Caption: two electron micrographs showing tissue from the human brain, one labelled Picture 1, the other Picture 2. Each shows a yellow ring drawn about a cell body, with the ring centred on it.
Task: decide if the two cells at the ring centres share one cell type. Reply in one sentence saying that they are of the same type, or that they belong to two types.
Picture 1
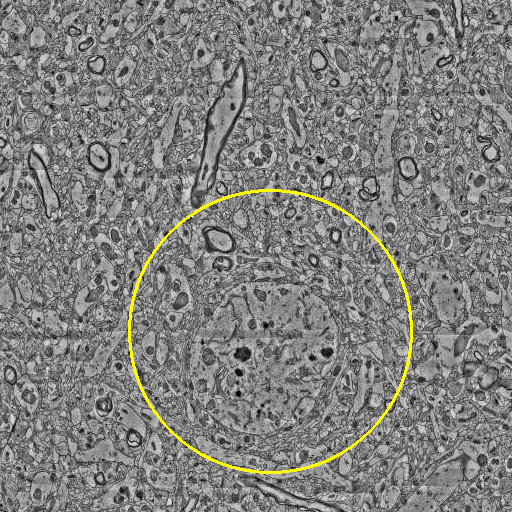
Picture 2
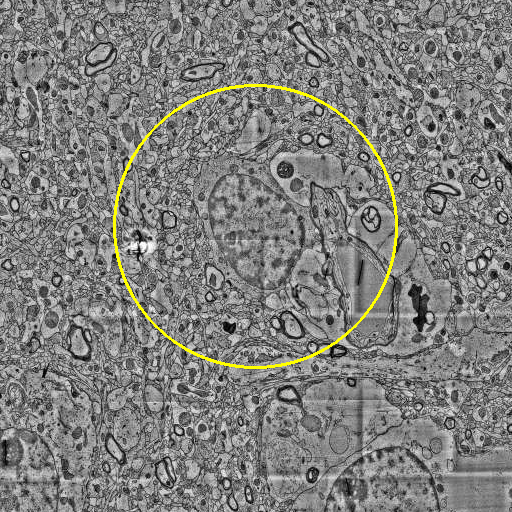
The cells at the ring centres in Picture 1 and Picture 2 belong to two types.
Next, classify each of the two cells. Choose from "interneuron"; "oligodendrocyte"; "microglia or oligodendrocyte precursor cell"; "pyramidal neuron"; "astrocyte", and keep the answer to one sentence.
In the first picture it is a pyramidal neuron; in the second it is an oligodendrocyte.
